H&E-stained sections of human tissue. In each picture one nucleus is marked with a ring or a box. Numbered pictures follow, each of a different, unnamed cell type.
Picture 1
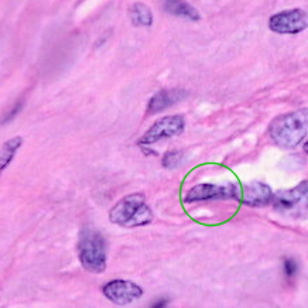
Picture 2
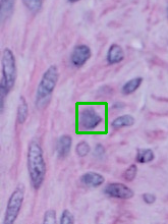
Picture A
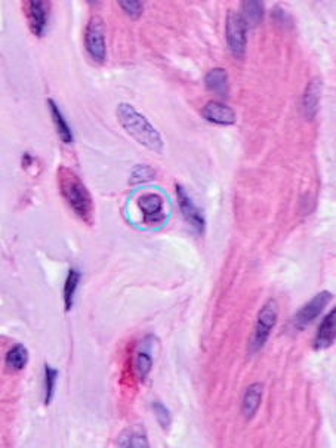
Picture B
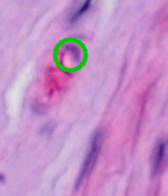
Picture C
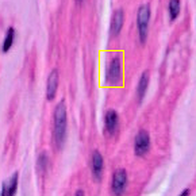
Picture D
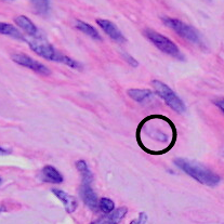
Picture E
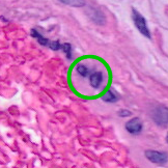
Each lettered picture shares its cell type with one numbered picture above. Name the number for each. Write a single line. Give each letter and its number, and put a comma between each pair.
A 1, B 1, C 2, D 2, E 1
